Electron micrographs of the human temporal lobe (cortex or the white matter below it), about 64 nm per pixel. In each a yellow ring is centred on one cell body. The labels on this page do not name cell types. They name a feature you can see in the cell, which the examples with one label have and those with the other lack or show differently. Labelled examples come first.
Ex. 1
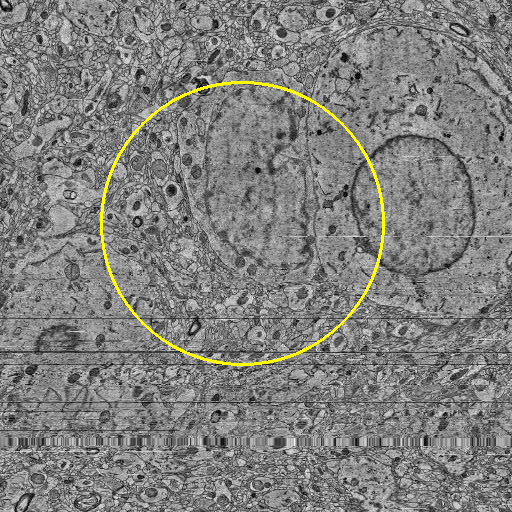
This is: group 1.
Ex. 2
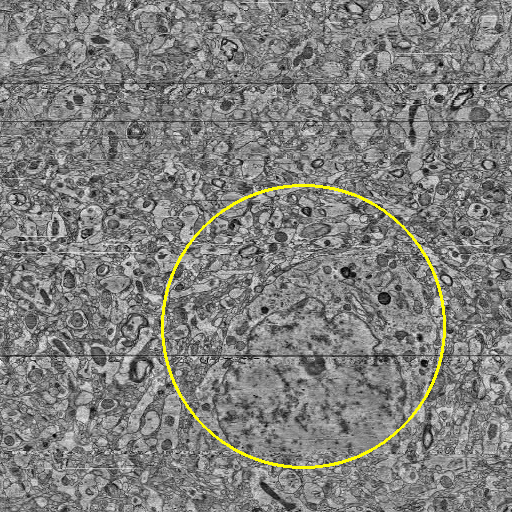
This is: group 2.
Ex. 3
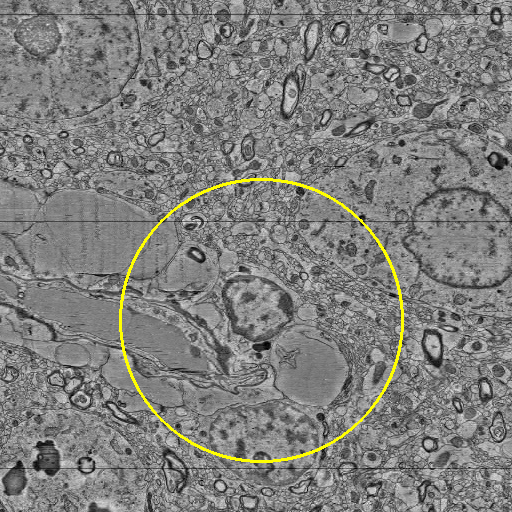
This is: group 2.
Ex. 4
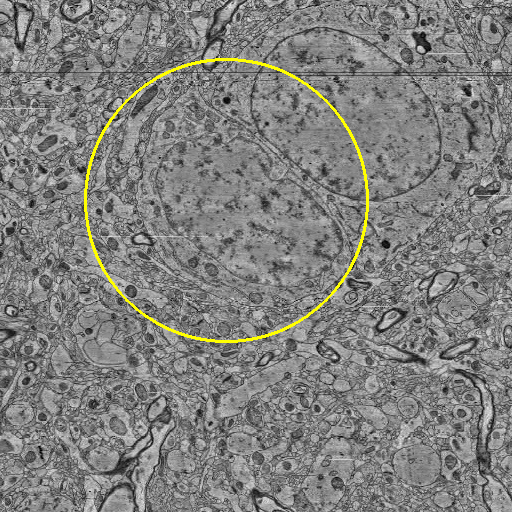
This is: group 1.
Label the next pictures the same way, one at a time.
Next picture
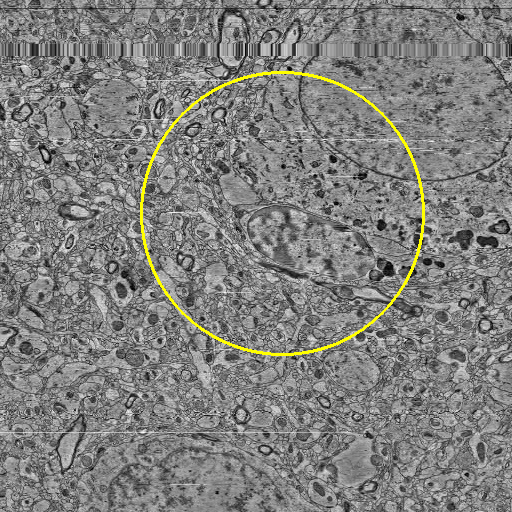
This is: group 1.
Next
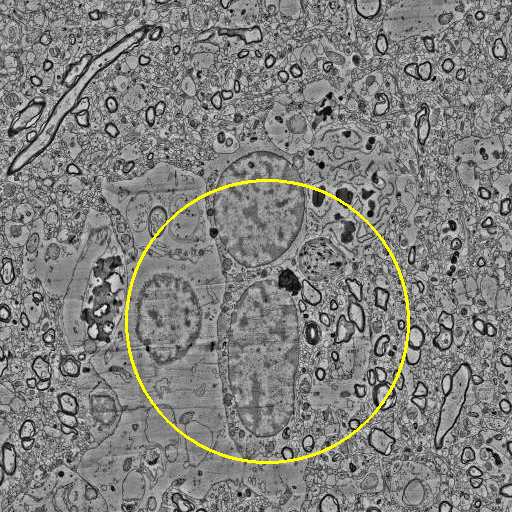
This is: group 1.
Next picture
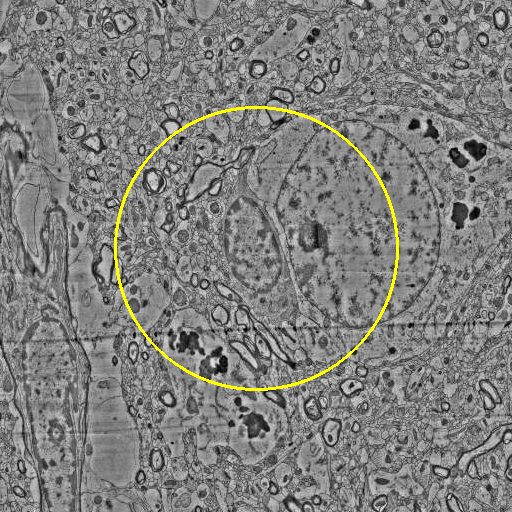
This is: group 1.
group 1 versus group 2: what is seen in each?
group 1, clearly elongated nuclei; group 2, round or nearly round nuclei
